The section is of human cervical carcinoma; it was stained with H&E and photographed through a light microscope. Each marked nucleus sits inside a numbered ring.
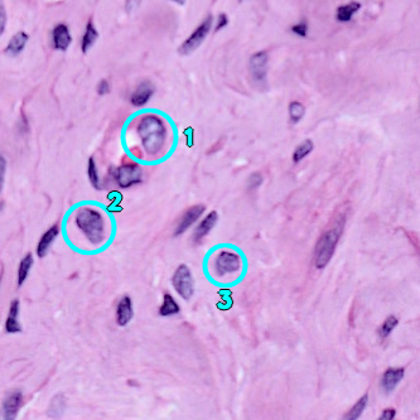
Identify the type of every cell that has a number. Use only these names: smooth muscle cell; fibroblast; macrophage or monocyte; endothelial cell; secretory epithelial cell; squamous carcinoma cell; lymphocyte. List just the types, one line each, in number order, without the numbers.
endothelial cell
fibroblast
fibroblast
